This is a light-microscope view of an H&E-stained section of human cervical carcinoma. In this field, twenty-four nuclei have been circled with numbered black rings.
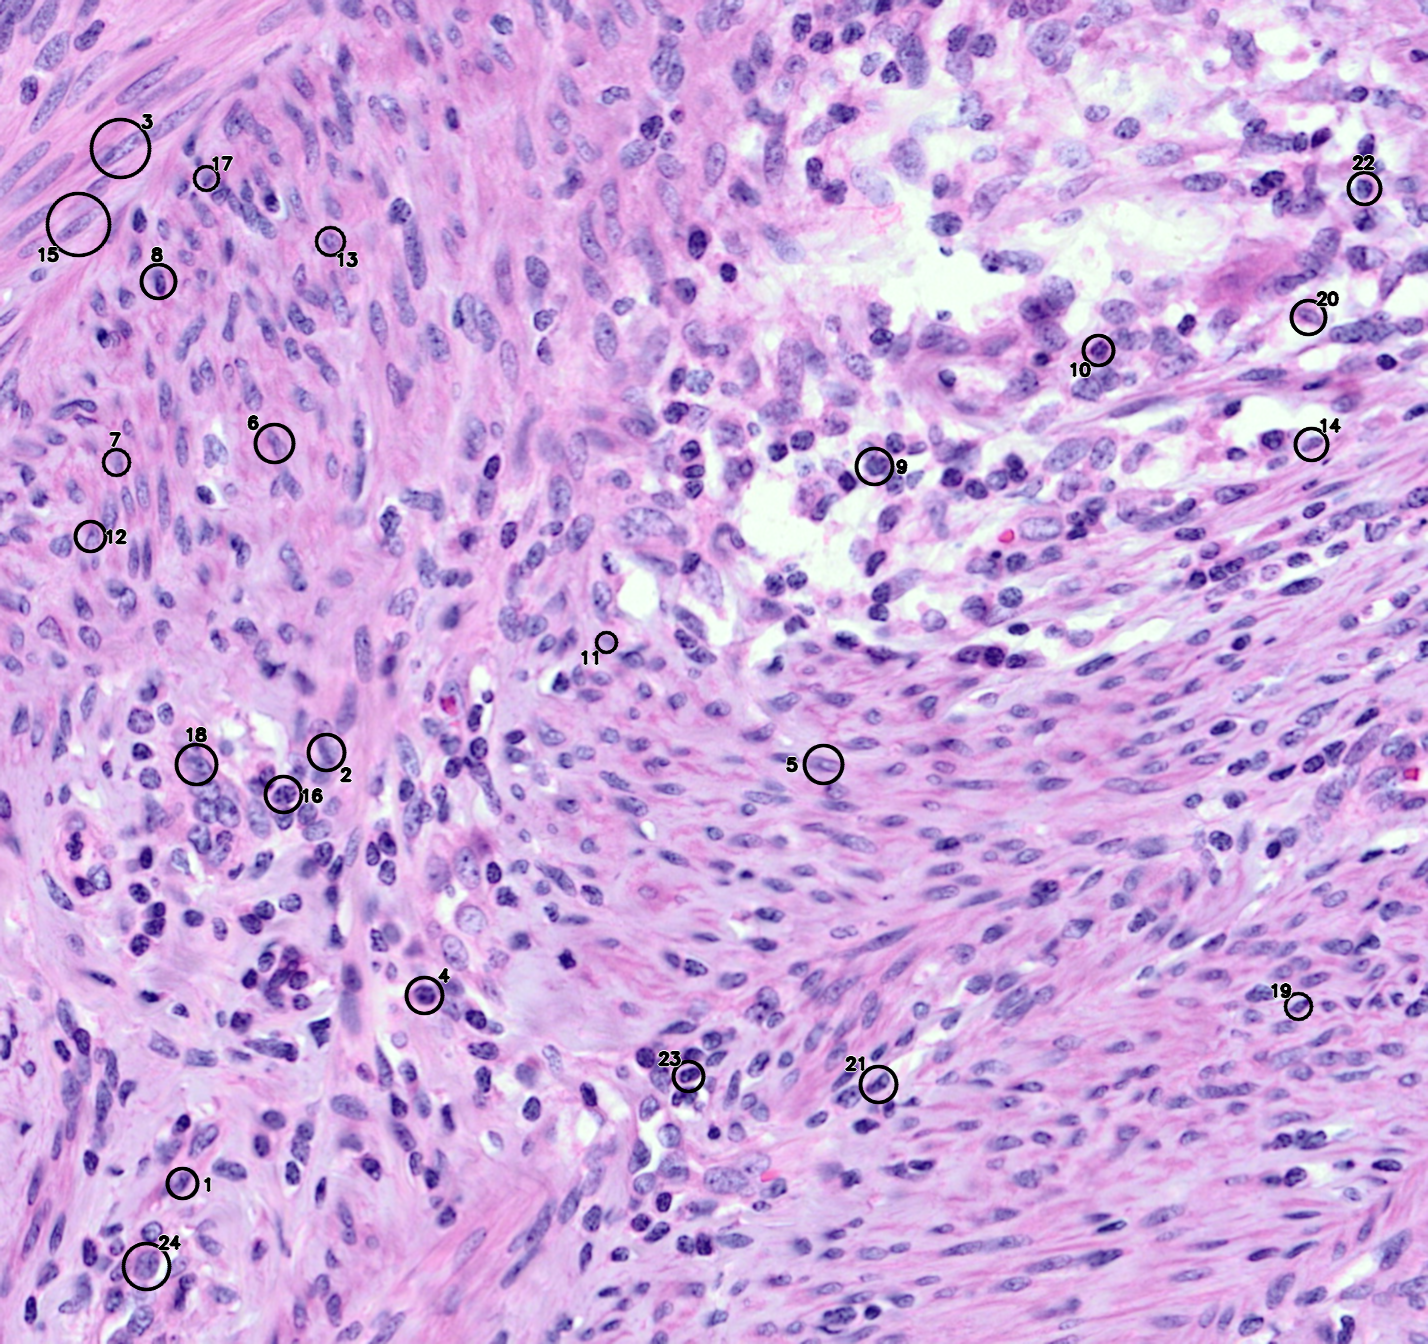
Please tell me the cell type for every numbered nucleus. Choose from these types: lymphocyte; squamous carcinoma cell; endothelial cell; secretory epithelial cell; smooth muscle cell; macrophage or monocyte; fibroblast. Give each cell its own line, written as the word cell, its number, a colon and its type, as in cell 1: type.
cell 1: endothelial cell
cell 2: fibroblast
cell 3: smooth muscle cell
cell 4: lymphocyte
cell 5: smooth muscle cell
cell 6: smooth muscle cell
cell 7: smooth muscle cell
cell 8: smooth muscle cell
cell 9: lymphocyte
cell 10: lymphocyte
cell 11: smooth muscle cell
cell 12: smooth muscle cell
cell 13: smooth muscle cell
cell 14: lymphocyte
cell 15: smooth muscle cell
cell 16: lymphocyte
cell 17: smooth muscle cell
cell 18: endothelial cell
cell 19: smooth muscle cell
cell 20: macrophage or monocyte
cell 21: lymphocyte
cell 22: lymphocyte
cell 23: lymphocyte
cell 24: endothelial cell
